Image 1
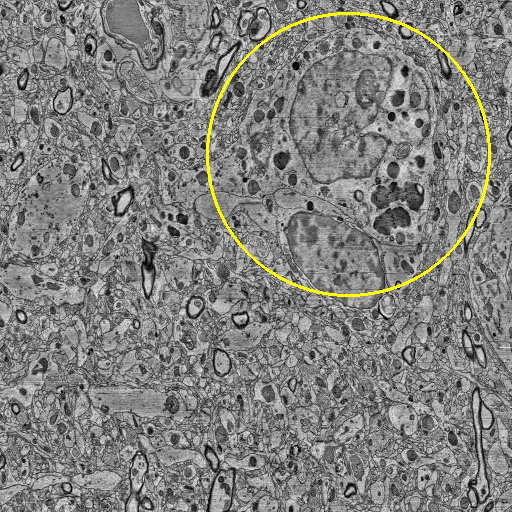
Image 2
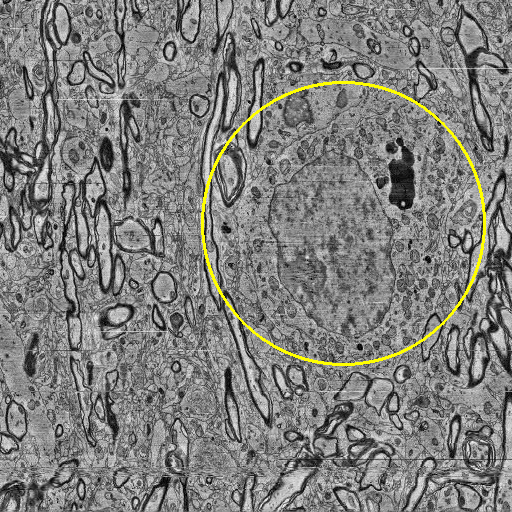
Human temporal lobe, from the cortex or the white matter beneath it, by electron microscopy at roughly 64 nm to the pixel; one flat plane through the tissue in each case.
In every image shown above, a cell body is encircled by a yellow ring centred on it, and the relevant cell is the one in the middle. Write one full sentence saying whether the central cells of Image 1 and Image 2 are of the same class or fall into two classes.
The cell at the ring's centre in Image 1 and its counterpart in Image 2 are of the same class.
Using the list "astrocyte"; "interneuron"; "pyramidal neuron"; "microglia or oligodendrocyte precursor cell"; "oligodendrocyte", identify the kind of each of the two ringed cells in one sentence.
In both pictures the ring is centred on an interneuron.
